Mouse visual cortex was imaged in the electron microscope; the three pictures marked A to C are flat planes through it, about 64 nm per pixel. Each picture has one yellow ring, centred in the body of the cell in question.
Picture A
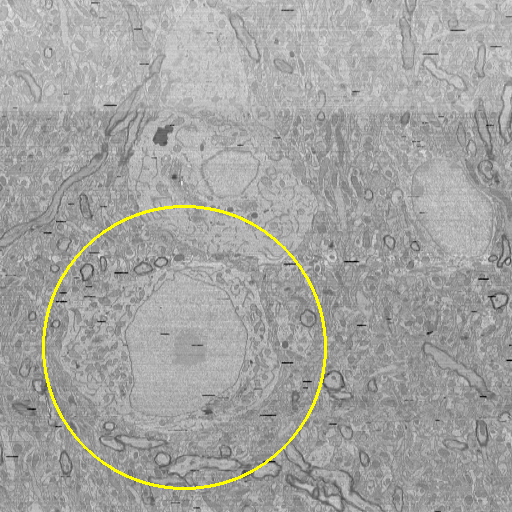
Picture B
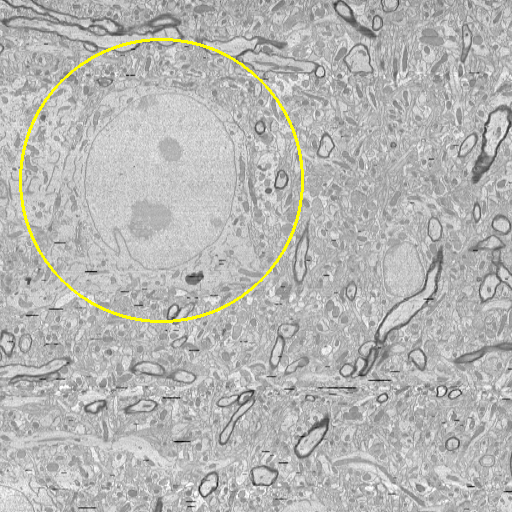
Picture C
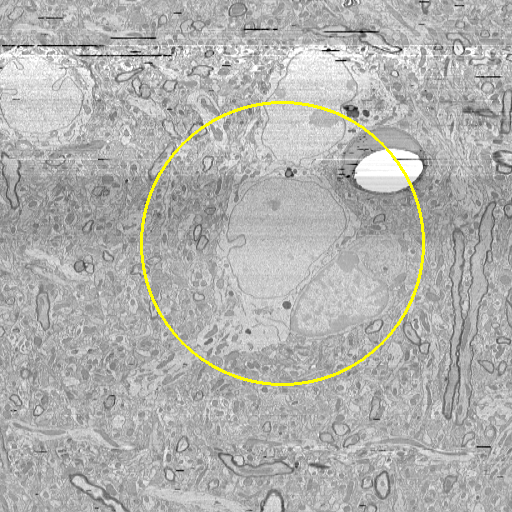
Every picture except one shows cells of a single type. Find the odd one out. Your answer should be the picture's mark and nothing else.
A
